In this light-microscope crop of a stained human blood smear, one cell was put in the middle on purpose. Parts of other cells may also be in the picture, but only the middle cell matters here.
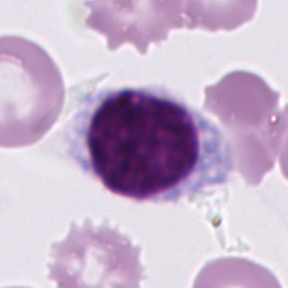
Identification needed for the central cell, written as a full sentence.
In the middle of this smear crop is a hairy cell.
